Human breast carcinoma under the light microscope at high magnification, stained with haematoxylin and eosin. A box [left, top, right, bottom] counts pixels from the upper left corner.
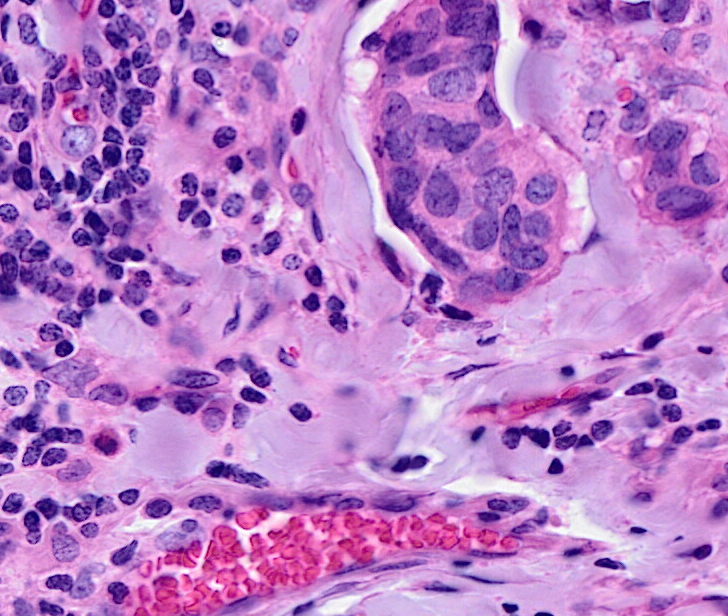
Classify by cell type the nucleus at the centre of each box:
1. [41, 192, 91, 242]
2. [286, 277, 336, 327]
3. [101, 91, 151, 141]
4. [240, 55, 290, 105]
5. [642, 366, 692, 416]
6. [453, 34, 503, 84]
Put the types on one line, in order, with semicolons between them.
lymphocyte; lymphocyte; lymphocyte; endothelial cell; lymphocyte; carcinoma cell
